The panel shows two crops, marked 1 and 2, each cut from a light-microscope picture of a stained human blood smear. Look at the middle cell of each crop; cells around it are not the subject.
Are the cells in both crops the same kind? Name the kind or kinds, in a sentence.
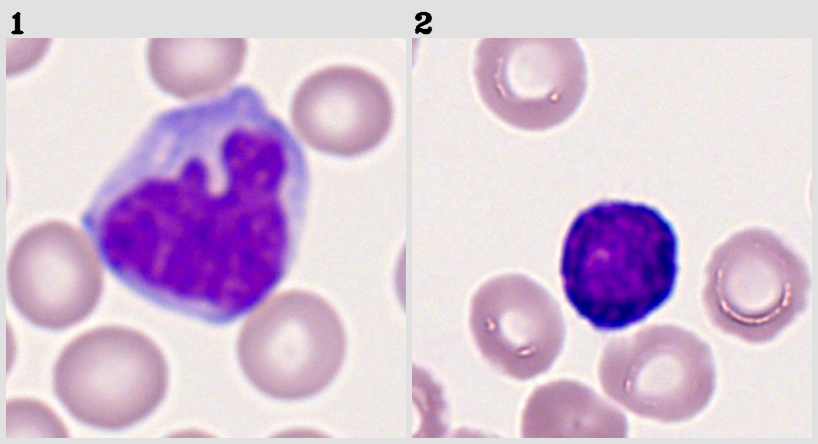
No, in crop 2 the central cell is a lymphocyte, and in crop 1 it is a monocyte.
